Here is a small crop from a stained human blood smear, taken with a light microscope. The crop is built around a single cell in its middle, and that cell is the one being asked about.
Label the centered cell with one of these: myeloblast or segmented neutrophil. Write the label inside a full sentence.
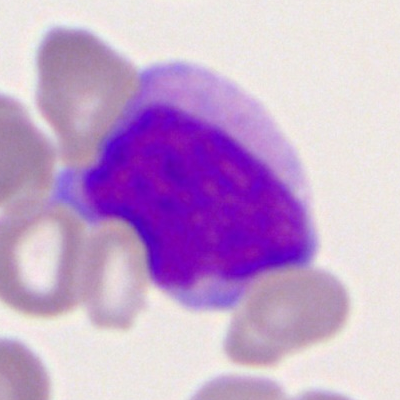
This crop is built around a myeloblast at its centre.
